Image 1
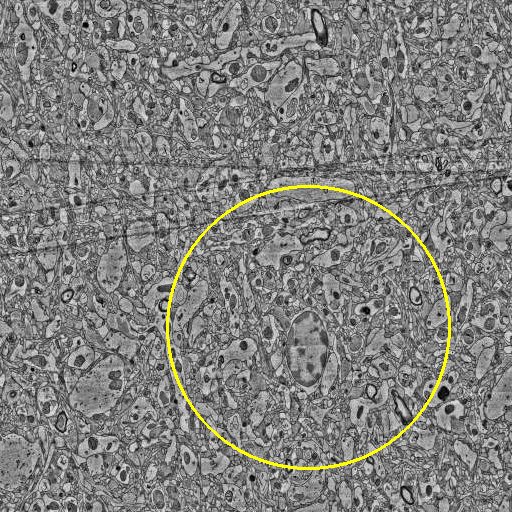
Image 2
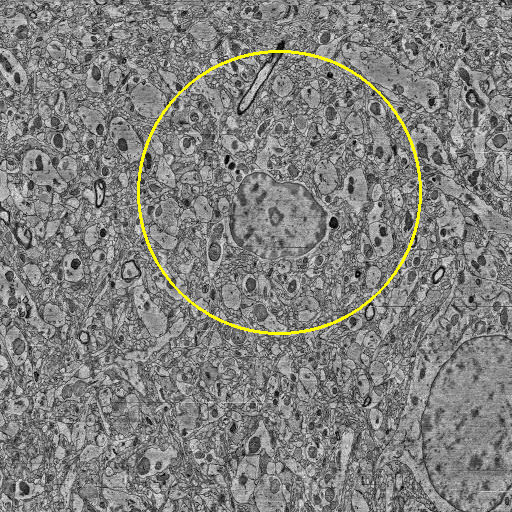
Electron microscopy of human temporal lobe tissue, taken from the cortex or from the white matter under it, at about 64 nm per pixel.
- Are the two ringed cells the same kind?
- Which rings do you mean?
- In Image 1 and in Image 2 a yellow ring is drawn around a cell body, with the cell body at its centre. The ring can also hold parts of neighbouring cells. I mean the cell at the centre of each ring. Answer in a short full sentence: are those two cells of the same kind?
Yes, both cells are of the same kind.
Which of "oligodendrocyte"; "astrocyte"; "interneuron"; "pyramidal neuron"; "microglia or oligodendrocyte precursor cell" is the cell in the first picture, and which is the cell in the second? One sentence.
Both pictures show a microglial cell or oligodendrocyte precursor cell at the centre of the ring.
